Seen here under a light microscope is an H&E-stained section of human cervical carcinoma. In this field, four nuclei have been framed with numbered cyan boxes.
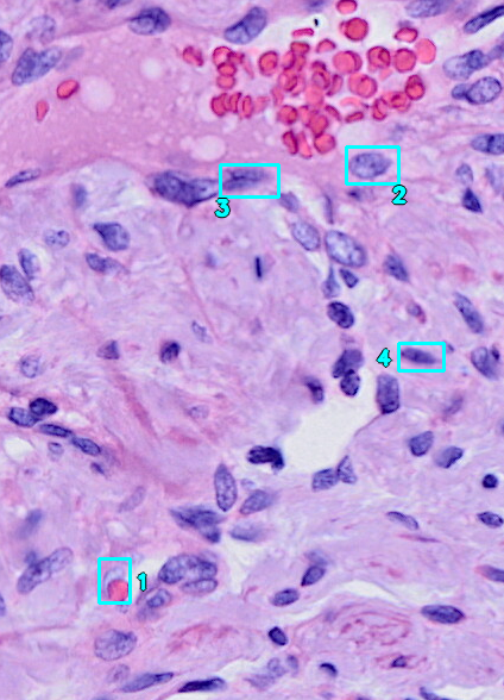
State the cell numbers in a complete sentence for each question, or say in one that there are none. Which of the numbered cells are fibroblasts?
The nucleus numbered 4 is the only one that belongs to a fibroblast.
